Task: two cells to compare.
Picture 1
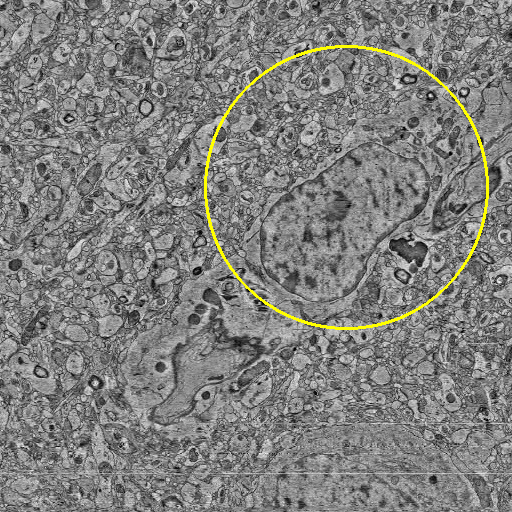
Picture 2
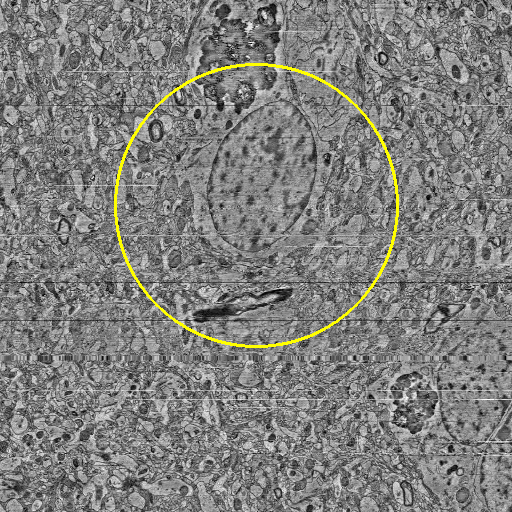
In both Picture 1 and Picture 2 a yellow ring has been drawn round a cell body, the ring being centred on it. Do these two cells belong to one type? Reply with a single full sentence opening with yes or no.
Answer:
No, the two cells at the ring centres in Picture 1 and Picture 2 are of two types.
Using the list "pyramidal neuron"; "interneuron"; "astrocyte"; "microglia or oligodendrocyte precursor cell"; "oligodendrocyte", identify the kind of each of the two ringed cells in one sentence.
The first is a microglial cell or oligodendrocyte precursor cell and the second is an astrocyte.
